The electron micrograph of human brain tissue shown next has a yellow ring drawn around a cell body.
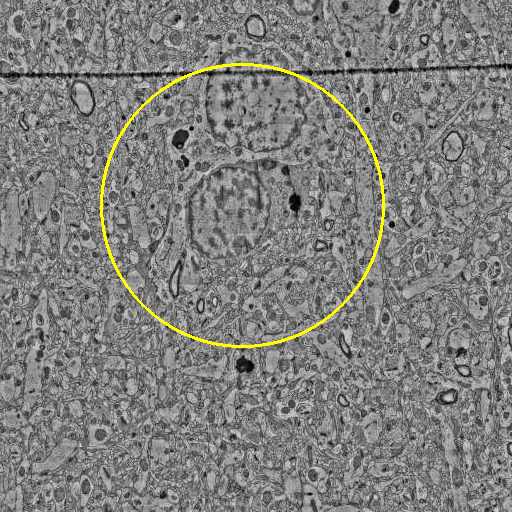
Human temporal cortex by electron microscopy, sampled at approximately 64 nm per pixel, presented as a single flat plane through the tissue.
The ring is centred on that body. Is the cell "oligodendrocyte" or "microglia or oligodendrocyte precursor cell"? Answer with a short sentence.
The cell in question is an oligodendrocyte.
